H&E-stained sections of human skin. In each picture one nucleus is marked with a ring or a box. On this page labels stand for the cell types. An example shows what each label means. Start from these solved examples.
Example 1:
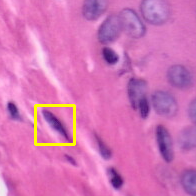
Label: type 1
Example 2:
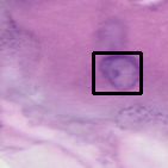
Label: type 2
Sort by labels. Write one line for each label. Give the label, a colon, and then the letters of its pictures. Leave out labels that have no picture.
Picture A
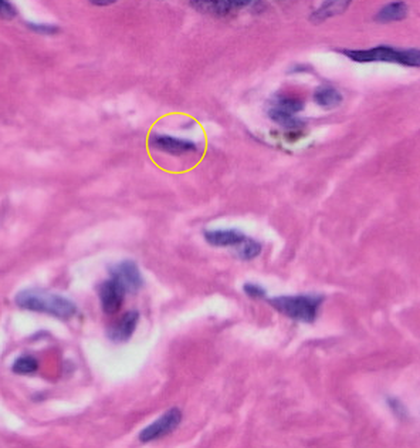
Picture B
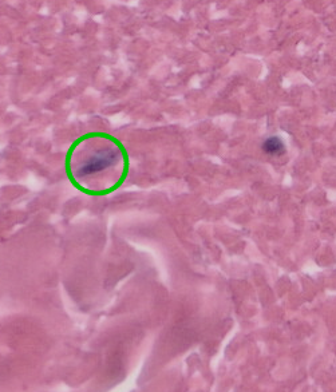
type 1: A, B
